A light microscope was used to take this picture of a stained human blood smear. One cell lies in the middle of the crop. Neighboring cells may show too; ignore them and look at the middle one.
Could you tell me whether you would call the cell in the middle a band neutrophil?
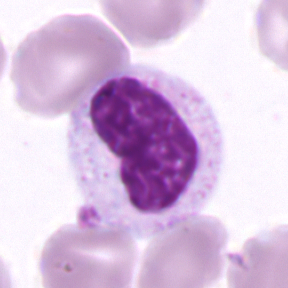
yes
